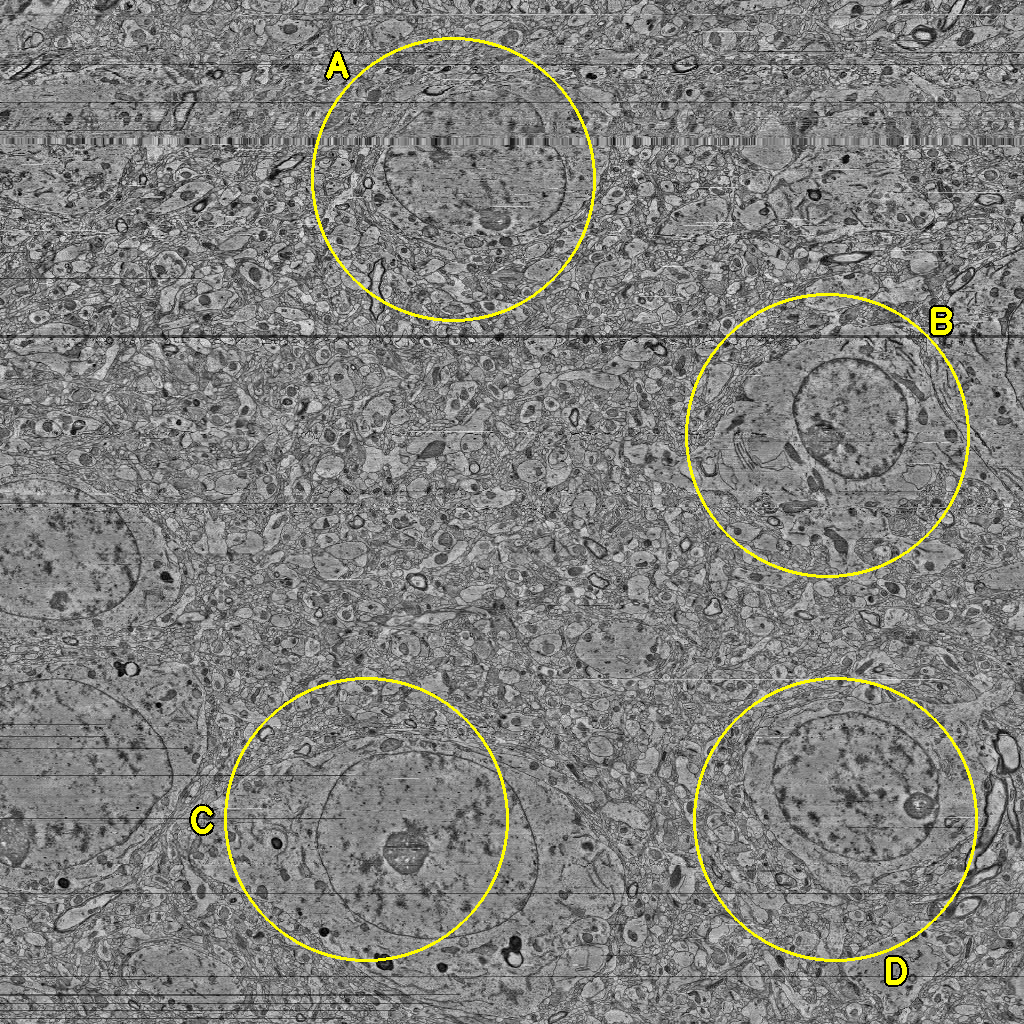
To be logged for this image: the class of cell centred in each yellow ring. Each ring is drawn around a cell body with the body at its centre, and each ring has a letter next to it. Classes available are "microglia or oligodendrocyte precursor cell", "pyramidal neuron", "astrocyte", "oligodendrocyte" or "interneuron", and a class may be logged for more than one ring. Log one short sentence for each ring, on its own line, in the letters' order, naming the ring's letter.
The class recorded for ring A is a pyramidal neuron.
The class recorded for ring B is an astrocyte.
The class recorded for ring C is a pyramidal neuron.
The class recorded for ring D is a pyramidal neuron.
